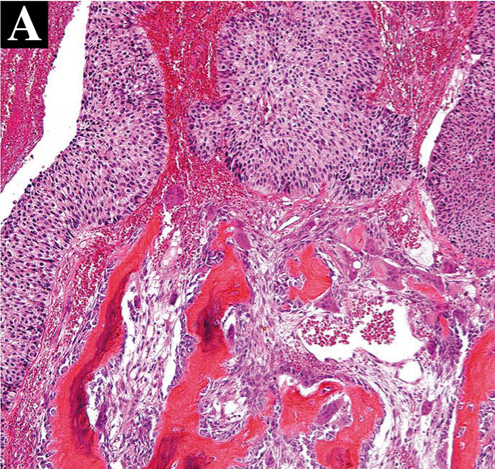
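Urothelial carcinoma with bone formation in its stroma. In the upper half, nests and sheets of crowded tumor cells with purple nuclei are separated by strands of red-blood-cell-rich stroma. Below them, the stroma holds several bright pink bone trabeculae of differing size and shape, some elongated and branching. These are separated by loose fibrous connective tissue with spindle cells and thin-walled vessels containing red blood cells.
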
